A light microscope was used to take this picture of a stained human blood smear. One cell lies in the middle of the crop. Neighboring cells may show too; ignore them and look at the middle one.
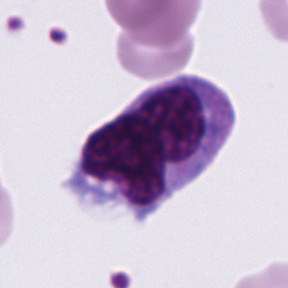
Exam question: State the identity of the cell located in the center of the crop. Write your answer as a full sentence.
In short, the cell at the center is a monocyte.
